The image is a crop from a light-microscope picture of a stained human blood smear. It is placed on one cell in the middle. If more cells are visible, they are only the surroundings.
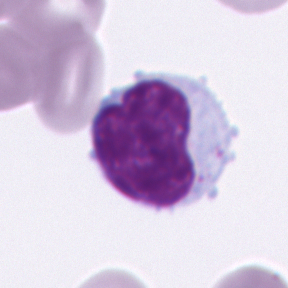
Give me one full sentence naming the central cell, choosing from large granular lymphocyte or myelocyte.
Centrally within this crop lies a large granular lymphocyte.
